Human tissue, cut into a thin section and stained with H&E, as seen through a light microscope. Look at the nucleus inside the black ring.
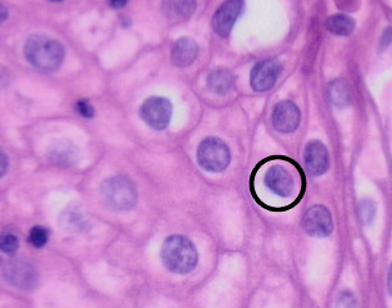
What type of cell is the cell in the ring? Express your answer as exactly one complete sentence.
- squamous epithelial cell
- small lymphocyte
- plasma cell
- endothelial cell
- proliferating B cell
In cell-type terms, the cell in the ring is a squamous epithelial cell.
